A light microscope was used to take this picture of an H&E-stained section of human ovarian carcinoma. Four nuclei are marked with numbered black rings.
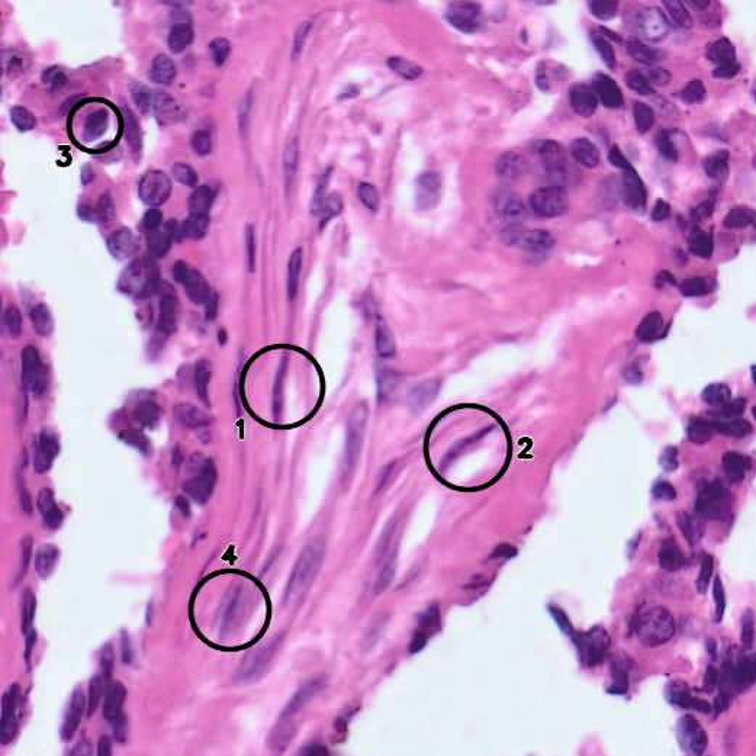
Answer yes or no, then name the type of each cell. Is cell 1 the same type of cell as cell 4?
Yes, as for cells 1 and 4, both are fibroblasts.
